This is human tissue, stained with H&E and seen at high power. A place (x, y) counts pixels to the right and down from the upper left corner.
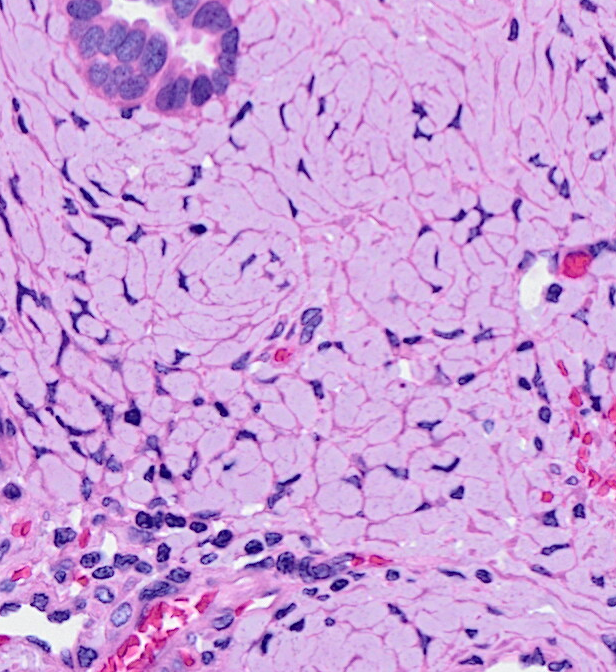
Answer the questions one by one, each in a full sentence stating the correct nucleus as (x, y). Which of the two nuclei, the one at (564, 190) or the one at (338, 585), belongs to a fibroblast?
The nucleus that belongs to a fibroblast is located at (564, 190).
